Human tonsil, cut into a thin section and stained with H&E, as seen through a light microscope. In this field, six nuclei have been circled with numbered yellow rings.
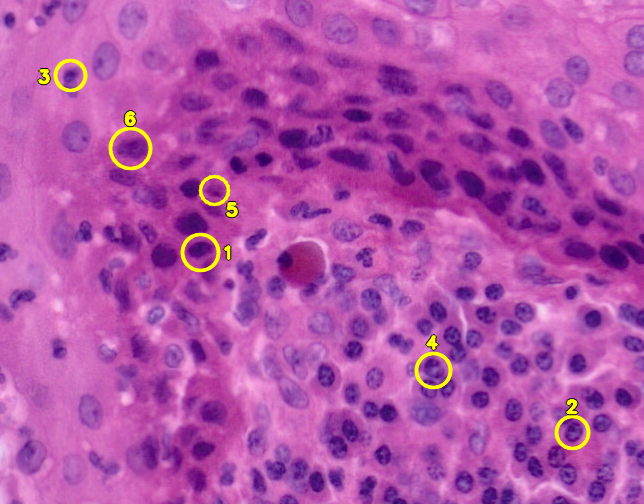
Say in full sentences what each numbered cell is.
Cell 1 is a squamous epithelial cell, cell 2 is a plasma cell, cell 3 is a squamous epithelial cell, cell 4 is a plasma cell, cell 5 is a squamous epithelial cell and cell 6 is a squamous epithelial cell.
